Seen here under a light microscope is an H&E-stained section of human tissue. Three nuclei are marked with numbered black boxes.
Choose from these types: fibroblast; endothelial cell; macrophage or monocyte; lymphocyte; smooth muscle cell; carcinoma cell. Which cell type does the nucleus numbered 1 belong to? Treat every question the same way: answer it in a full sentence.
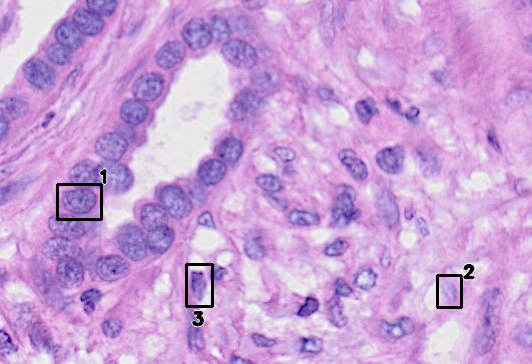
As for number 1, that cell is a carcinoma cell.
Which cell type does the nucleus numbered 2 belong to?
The one numbered 2 among the marked cells is a fibroblast.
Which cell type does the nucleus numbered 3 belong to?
To a macrophage or monocyte belongs the nucleus marked 3.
